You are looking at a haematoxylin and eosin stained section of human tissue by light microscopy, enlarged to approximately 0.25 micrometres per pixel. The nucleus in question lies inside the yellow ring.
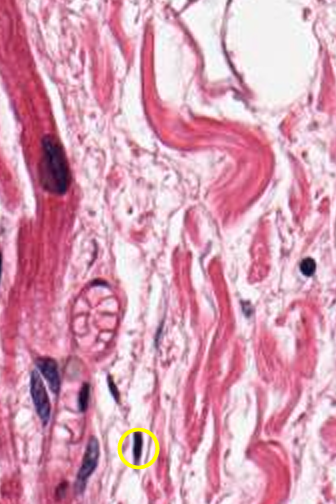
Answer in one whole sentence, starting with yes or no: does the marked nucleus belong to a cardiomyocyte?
No, the marked nucleus belongs not to a cardiomyocyte but to a supporting cell of connective tissue, a vessel or the immune system.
